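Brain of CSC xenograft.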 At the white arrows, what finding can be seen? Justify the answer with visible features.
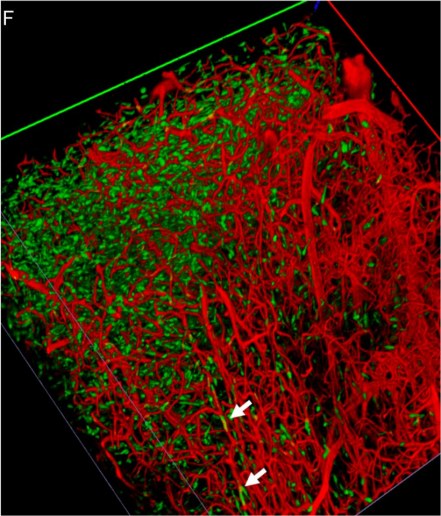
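At the arrows, green cells sit on the surface of red vessels. Green cells are scattered densely among a red vessel network.
Hence: close juxtaposition.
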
